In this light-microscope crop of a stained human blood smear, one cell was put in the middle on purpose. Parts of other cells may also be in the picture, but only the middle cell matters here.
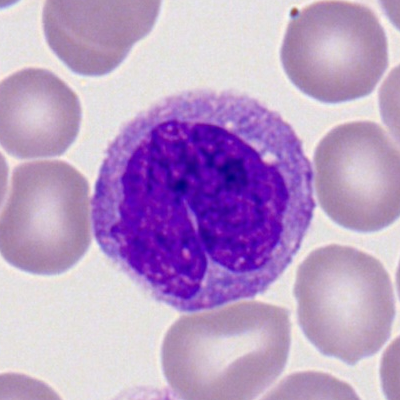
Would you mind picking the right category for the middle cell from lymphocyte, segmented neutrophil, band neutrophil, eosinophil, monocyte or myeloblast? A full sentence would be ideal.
In the middle of this smear crop, the cell is a monocyte.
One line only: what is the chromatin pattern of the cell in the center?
The chromatin in this nucleus is coarsely clumped.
